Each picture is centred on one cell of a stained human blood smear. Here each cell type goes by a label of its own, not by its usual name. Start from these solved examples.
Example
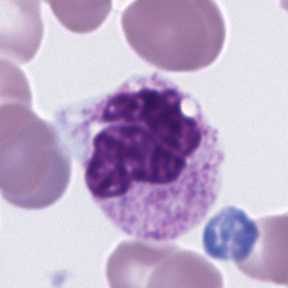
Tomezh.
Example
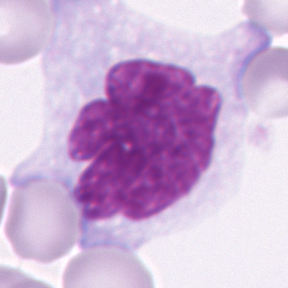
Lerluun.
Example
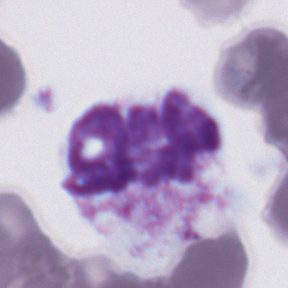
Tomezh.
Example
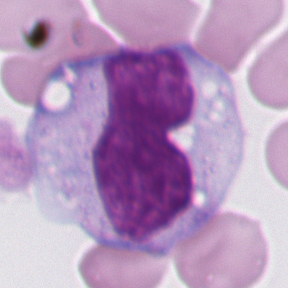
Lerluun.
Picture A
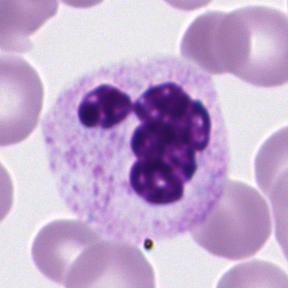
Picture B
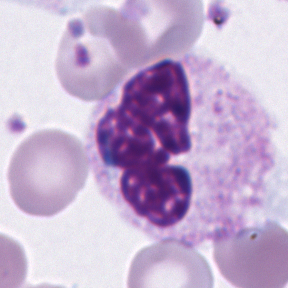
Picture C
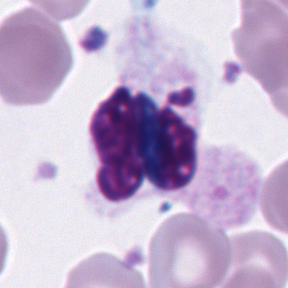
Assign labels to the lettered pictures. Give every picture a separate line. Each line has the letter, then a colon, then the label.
A: Tomezh.
B: Tomezh.
C: Tomezh.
